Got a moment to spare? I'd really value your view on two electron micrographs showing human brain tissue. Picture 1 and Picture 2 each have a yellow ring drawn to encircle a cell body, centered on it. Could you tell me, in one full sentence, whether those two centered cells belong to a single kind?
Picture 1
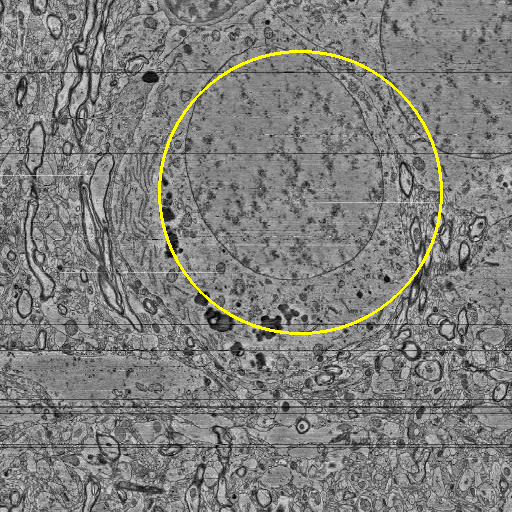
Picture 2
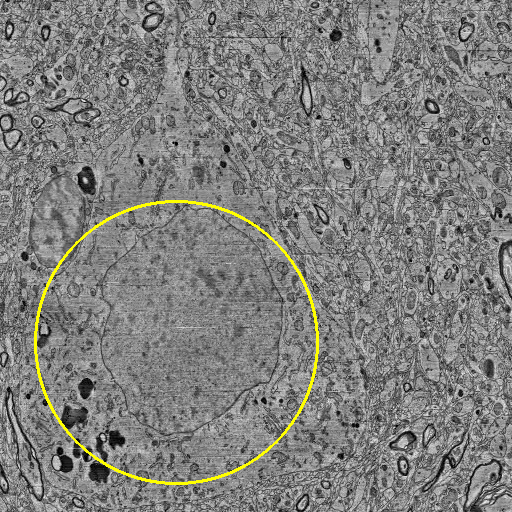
Yes, the two centered cells in Picture 1 and Picture 2 are of a single kind.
